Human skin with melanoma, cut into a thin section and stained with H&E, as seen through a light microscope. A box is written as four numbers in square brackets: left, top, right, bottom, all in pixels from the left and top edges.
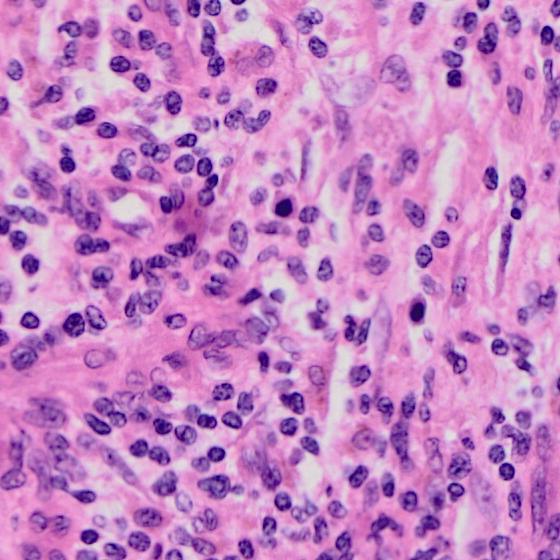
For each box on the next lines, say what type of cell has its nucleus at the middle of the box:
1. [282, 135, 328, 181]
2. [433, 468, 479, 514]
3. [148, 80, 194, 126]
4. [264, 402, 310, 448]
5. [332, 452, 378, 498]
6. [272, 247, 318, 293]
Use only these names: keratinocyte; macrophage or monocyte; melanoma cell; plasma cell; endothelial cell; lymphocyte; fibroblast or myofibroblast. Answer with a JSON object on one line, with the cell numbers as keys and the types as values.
{"1": "fibroblast or myofibroblast", "2": "lymphocyte", "3": "lymphocyte", "4": "lymphocyte", "5": "lymphocyte", "6": "macrophage or monocyte"}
